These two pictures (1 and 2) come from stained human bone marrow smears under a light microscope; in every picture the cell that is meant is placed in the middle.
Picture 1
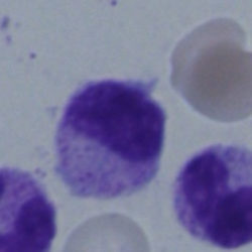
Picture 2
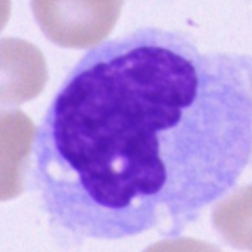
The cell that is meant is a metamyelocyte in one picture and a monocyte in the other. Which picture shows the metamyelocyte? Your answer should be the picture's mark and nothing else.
1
